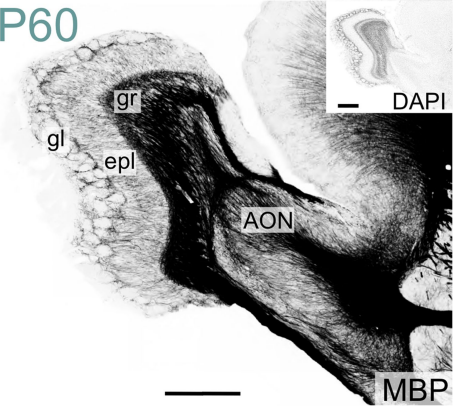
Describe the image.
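The central granule layer is filled with dense, dark fiber staining that continues backward into thick tracts. Outside it, the external plexiform layer contains a finer mesh of radially and obliquely running stained fibers. At the outer edge, the glomerular layer shows round, pale glomeruli, each rimmed by a thin ring of stained fibers. The anterior olfactory nucleus behind the bulb is also crossed by many stained fibers of moderate density.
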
